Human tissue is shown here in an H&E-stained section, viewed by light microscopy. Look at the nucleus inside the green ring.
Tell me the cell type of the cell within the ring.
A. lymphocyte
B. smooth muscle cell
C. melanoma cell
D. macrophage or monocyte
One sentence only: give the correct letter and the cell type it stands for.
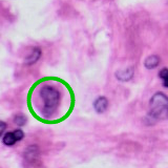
Option D is accurate, for the cell within the ring is a macrophage or monocyte.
